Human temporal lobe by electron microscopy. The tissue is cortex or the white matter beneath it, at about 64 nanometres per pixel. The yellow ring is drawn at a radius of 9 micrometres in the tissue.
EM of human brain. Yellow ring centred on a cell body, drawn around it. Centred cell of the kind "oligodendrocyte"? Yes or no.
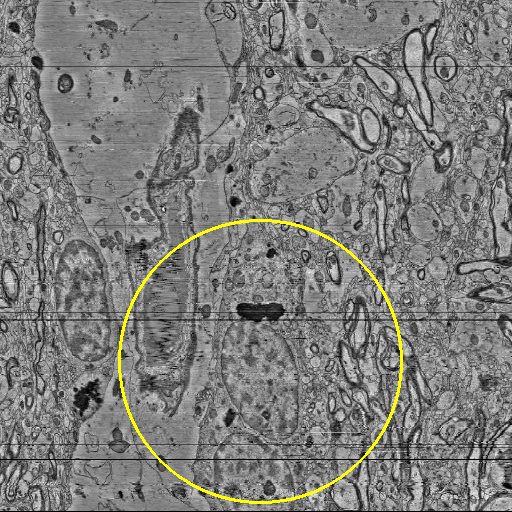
yes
